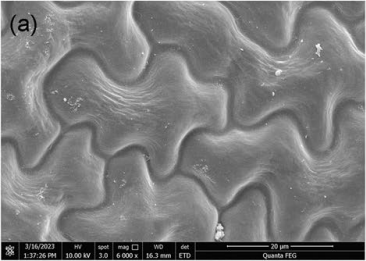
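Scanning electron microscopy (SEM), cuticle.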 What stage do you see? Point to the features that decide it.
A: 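The lobed, interlocking cell outlines are covered by an even, smooth surface. Only faint shallow ridges and few particles lie on the surface.
Hence: Smooth surface.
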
